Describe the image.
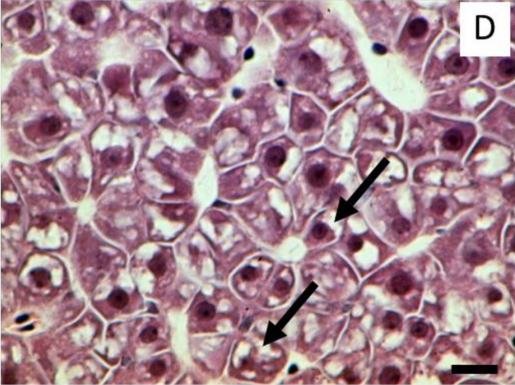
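Liver tissue made of polygonal hepatocytes arranged closely with distinct thin cell borders. Narrow spaces with a few small flattened nuclei run between the groups of cells.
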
